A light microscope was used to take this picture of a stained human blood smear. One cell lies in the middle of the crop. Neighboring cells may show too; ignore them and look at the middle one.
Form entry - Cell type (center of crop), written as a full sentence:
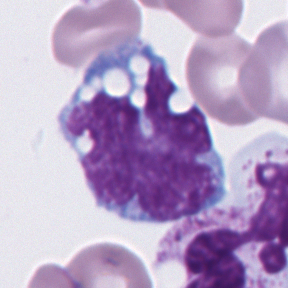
Among the cells in view, the one in the middle is a monocyte.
